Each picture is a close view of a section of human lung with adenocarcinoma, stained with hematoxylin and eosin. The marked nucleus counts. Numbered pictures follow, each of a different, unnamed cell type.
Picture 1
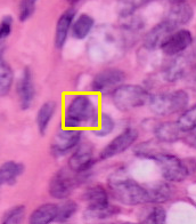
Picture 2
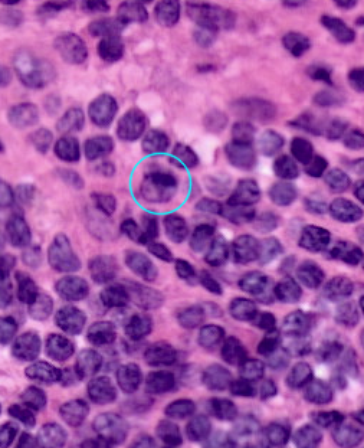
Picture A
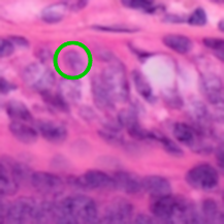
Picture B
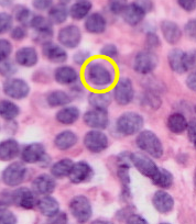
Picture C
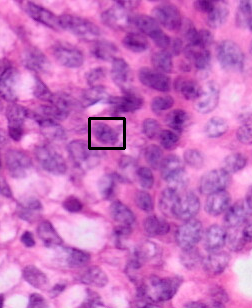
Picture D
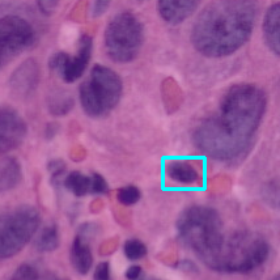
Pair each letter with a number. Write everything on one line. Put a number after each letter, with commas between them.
A 1, B 2, C 1, D 2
